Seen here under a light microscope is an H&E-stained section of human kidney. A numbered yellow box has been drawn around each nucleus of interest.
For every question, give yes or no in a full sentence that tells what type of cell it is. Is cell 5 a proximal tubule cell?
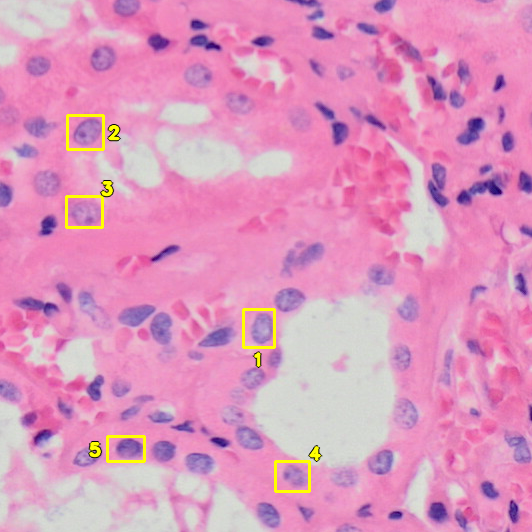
No, the cell tagged 5 is a loop of Henle or distal tubule cell, and not a proximal tubule cell.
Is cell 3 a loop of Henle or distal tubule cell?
No, cell 3 is a proximal tubule cell, not a loop of Henle or distal tubule cell.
